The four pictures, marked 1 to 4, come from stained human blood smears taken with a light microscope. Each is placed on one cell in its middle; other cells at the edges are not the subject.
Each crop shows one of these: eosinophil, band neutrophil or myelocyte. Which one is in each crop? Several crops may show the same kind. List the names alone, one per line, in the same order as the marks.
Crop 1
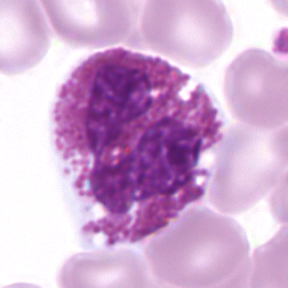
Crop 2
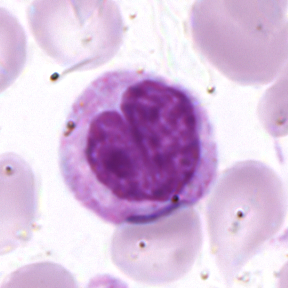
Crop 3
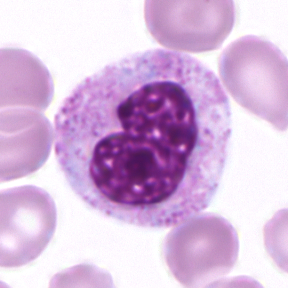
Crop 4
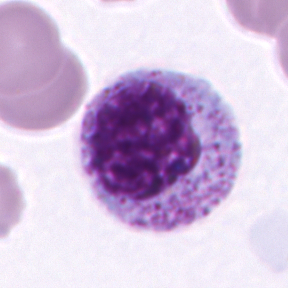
eosinophil
band neutrophil
band neutrophil
myelocyte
